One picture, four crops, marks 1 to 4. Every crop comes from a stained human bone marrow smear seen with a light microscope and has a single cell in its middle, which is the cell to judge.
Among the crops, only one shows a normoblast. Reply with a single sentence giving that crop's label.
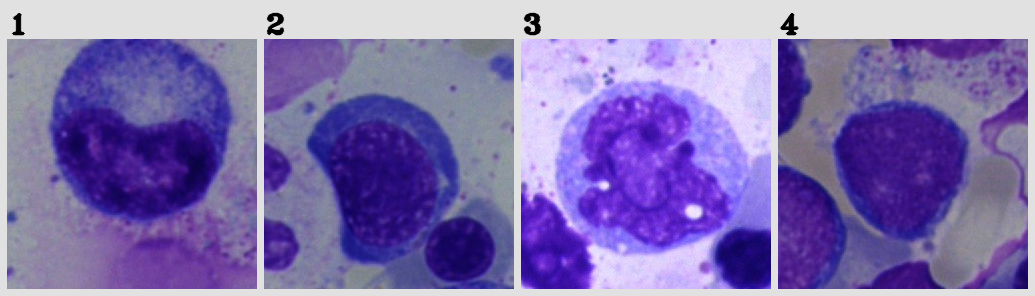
It is in crop 2 that a normoblast is shown.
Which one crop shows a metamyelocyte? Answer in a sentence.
The correct choice is crop 1, the one showing a metamyelocyte.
